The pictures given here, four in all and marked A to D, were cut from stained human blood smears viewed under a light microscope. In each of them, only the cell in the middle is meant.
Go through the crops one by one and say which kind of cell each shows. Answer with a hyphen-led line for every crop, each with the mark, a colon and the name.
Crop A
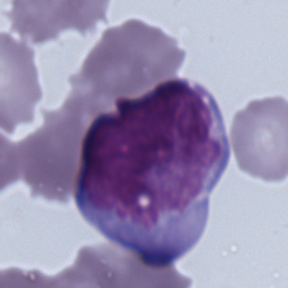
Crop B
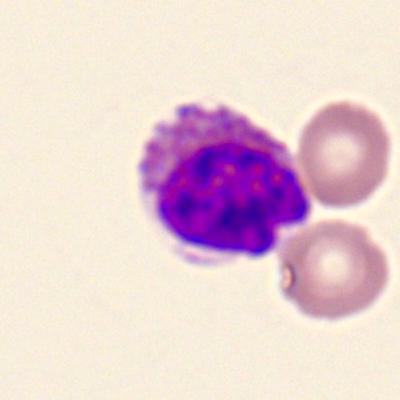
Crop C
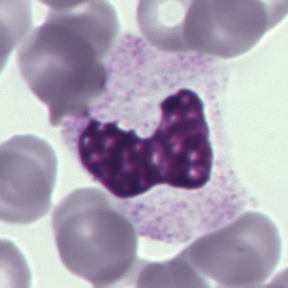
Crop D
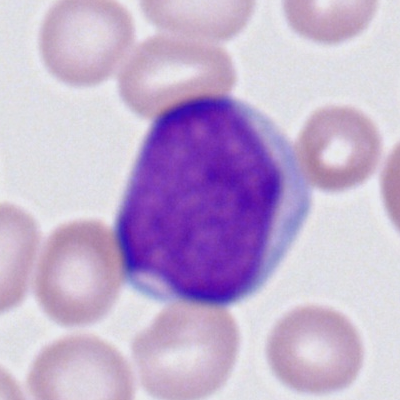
- A: blast
- B: eosinophil
- C: band neutrophil
- D: blast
